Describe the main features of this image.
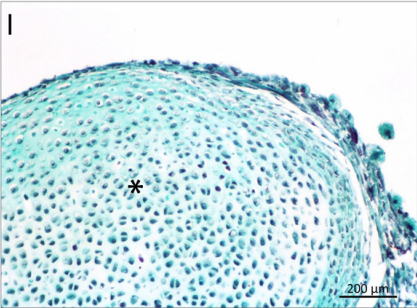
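The cells inside are rounded and spaced apart from each other by matrix, with small dark nuclei, and they look denser and flatter toward the rim. Around the mass runs a thin layer of flattened, elongated cells wrapping it like a capsule, and a few loose cells lie outside it at the edge.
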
